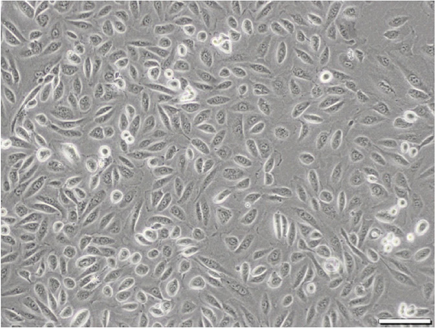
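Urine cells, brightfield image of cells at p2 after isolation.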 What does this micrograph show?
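Most cells are flat, polygonal to spindle-shaped, with an oval central nucleus and thin spreading cytoplasm. Scattered small, rounded, bright-rimmed cells lie among the flat ones.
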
